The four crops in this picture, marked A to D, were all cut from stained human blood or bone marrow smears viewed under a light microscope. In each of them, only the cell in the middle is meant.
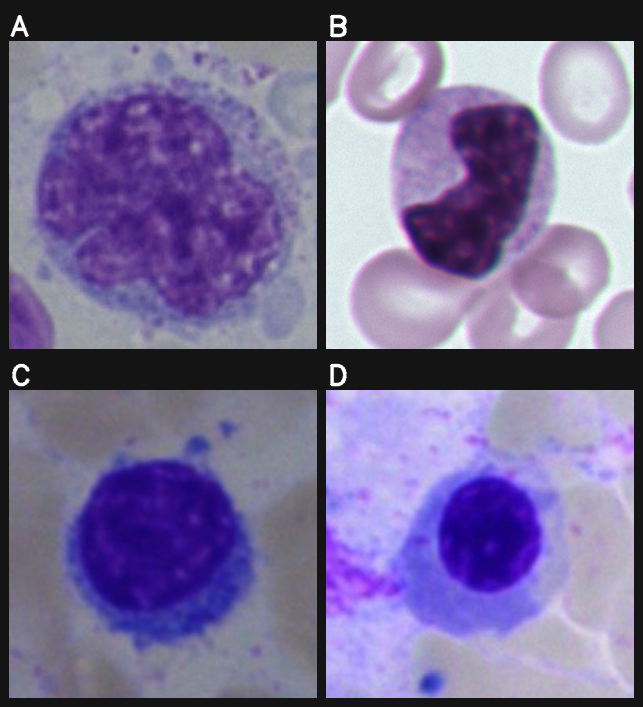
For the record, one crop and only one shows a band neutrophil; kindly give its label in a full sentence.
The crop with a band neutrophil in it is crop B.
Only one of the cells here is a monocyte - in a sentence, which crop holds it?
Of the labeled crops, the one with a monocyte is crop A.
